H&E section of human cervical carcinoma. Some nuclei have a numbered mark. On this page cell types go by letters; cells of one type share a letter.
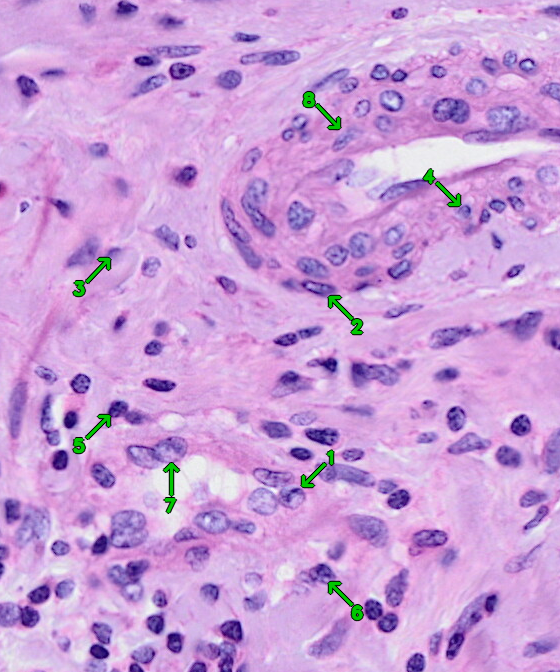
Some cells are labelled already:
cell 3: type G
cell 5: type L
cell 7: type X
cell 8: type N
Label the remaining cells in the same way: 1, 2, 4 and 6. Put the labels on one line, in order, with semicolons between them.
type X; type N; type N; type L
